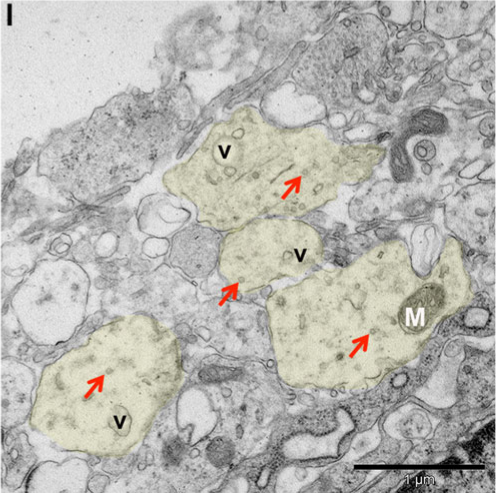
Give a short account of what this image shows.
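Here neuropil is seen at very high magnification, with nerve cell processes cut across. The shaded profiles are unmyelinated neurites: rounded or irregular outlines bounded by a single membrane, with pale, finely granular cytoplasm and no dark layered sheath around them. Inside them lie small round vesicles, tiny dot-like cross-cut microtubules, and in the largest one a mitochondrion with its inner folds. Around them, many other membrane-bound profiles of different sizes pack closely together, some clear, some with small vesicles, making up the crowded texture of neuropil.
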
